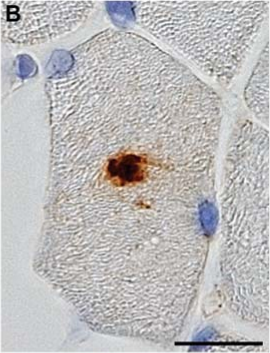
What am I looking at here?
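A single skeletal muscle fiber is seen in cross section at high magnification. Its cut face is polygonal, pale and finely stippled. Blue oval nuclei sit at the fiber's edge and in the narrow spaces between it and the neighbouring fibers. Inside the cytoplasm, near the centre of the fiber, lies a small dark brown clump of irregular, amorphous shape. A faint brown halo and a few finer brown granules surround it. The rest of the fiber and its neighbours show no brown deposit.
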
